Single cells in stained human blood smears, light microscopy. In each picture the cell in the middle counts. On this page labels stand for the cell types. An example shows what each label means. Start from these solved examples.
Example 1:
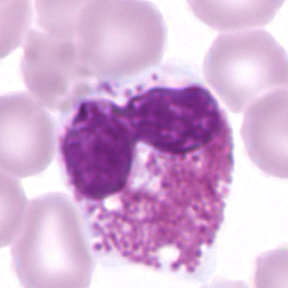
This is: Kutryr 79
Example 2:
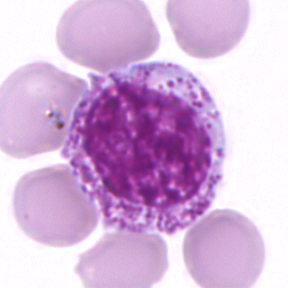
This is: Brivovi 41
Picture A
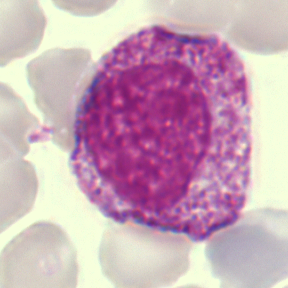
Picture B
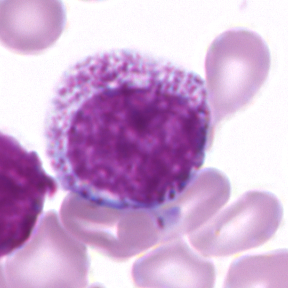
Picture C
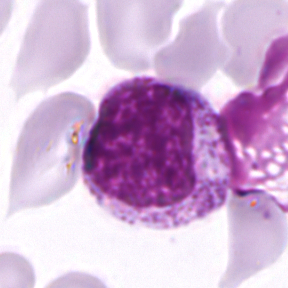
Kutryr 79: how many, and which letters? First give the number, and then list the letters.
0, none of them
